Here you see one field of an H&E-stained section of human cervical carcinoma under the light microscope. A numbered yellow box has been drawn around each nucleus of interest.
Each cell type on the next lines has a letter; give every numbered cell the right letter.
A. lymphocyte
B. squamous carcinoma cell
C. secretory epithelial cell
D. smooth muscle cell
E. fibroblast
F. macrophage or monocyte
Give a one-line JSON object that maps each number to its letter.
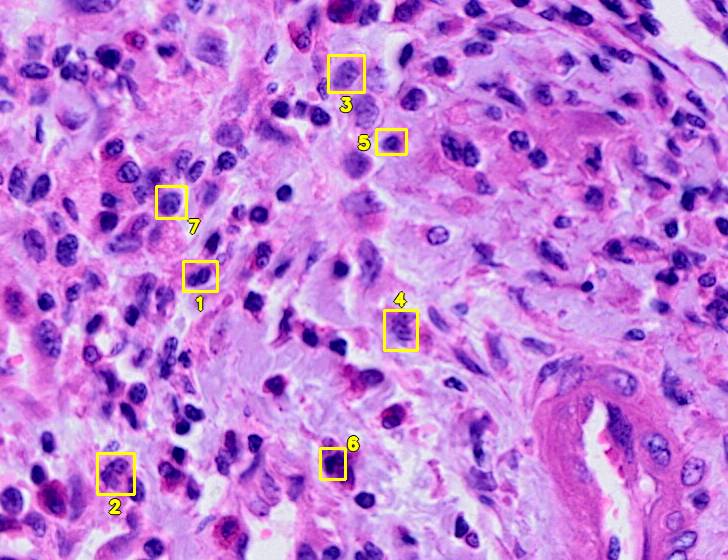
{"1": "A", "2": "F", "3": "F", "4": "F", "5": "A", "6": "A", "7": "A"}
